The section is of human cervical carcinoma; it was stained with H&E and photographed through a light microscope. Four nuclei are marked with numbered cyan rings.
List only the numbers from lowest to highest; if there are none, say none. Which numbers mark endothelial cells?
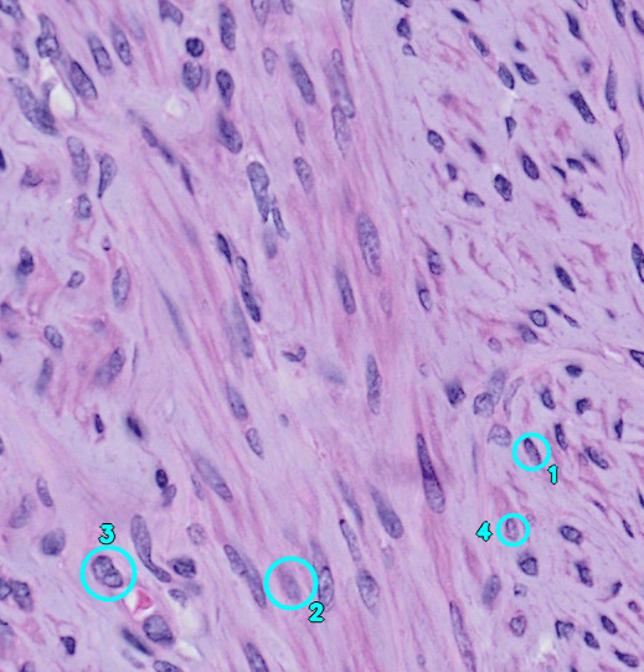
3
